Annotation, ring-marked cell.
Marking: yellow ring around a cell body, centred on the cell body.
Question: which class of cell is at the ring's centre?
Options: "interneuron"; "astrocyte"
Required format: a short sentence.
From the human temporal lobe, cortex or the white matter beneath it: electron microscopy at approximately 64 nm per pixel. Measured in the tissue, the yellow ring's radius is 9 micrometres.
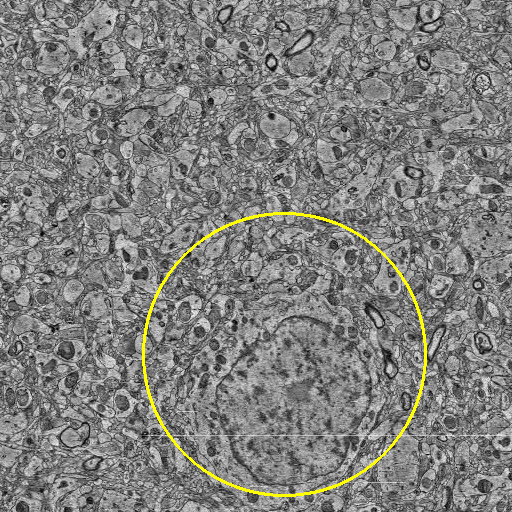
At the ring's centre is an interneuron.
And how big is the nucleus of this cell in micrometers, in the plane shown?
The nucleus comes to roughly 11 by 10 micrometres in this plane.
